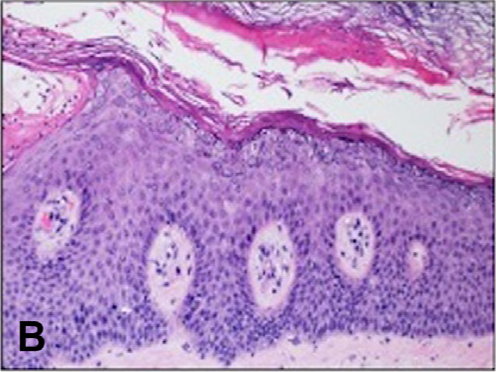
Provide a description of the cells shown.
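This is the epidermis of skin, a thick sheet of stacked keratinocytes with rounded dermal papillae cut across as pale islands containing small vessels. On top lies a thick layer of pink, compact, layered keratin without nuclei, and just beneath it a distinct granular layer whose cells carry coarse dark purple granules.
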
